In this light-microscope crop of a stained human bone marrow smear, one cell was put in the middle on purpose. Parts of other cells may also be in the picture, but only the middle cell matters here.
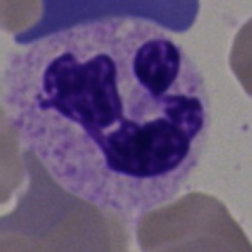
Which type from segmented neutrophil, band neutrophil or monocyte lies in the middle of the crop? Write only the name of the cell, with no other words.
segmented neutrophil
